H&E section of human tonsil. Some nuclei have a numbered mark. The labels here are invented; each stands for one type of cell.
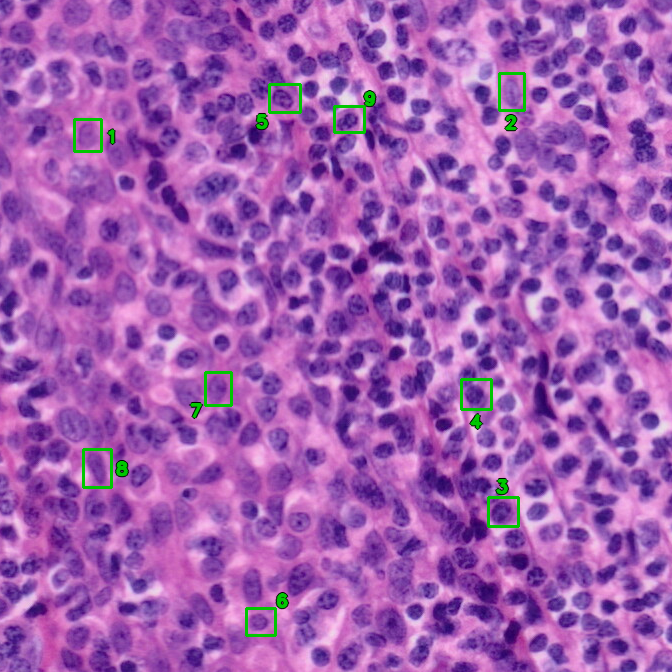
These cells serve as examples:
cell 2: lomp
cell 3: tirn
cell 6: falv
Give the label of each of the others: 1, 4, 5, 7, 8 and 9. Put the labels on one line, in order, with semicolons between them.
falv; tirn; tirn; falv; falv; tirn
